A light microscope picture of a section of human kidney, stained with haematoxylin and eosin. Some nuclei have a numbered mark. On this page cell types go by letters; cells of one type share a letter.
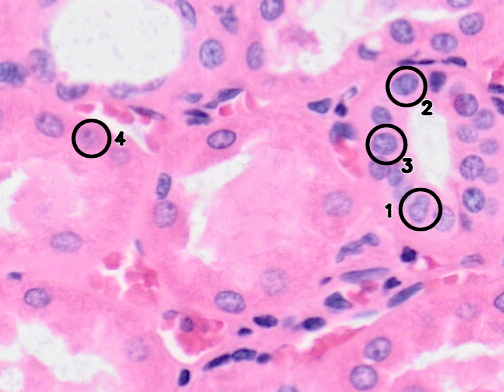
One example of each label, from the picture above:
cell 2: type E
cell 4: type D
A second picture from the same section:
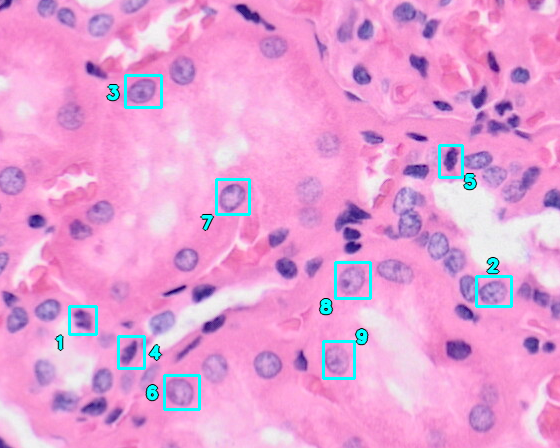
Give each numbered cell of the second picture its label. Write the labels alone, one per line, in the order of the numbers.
type E
type E
type D
type E
type E
type D
type D
type D
type D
